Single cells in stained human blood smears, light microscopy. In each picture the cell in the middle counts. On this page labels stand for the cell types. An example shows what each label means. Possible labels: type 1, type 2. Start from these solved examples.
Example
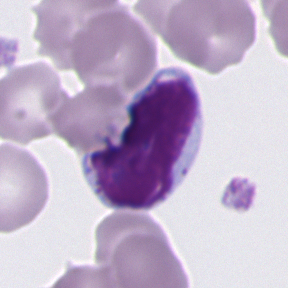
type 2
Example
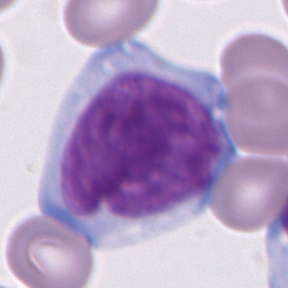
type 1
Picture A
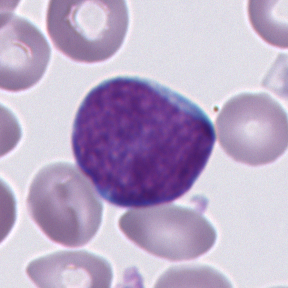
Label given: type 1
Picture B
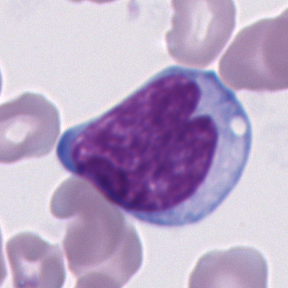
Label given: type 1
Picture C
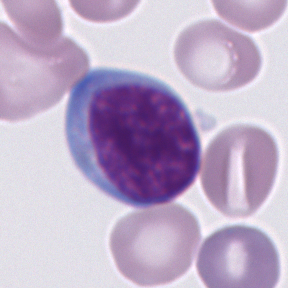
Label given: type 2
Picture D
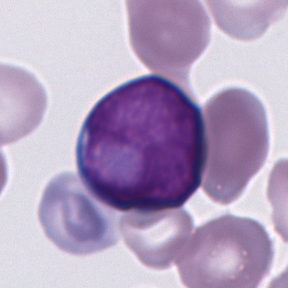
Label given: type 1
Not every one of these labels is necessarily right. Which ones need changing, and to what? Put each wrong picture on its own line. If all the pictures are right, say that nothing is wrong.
No label is wrong.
